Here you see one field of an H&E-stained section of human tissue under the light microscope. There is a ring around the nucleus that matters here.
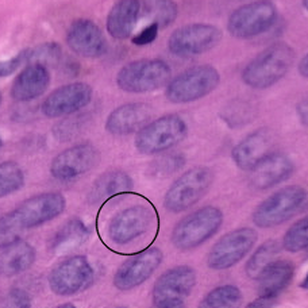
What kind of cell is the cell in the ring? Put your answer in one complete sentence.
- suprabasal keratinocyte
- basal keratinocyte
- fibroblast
Labelled by cell type, the cell in the ring is a suprabasal keratinocyte.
